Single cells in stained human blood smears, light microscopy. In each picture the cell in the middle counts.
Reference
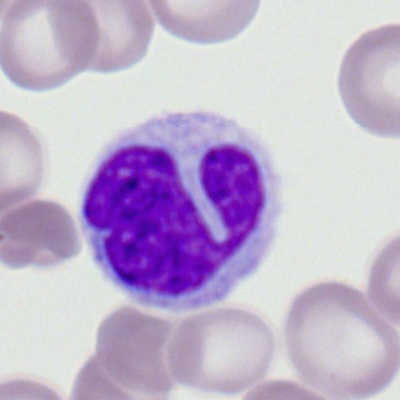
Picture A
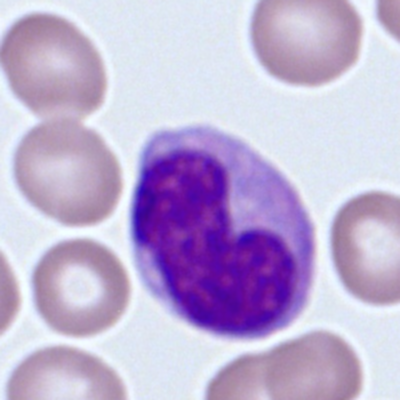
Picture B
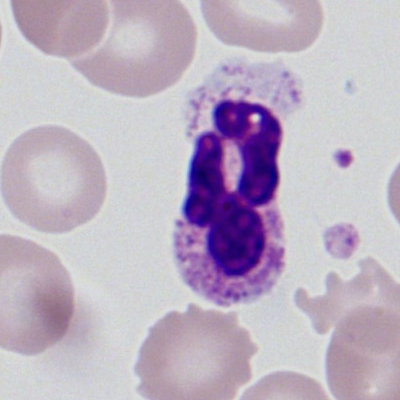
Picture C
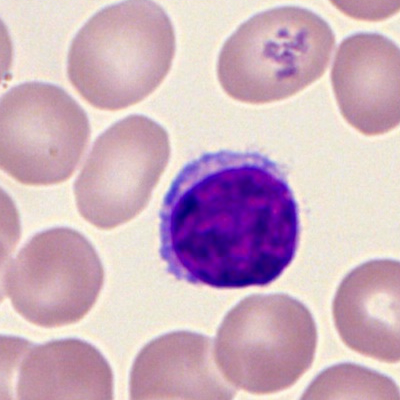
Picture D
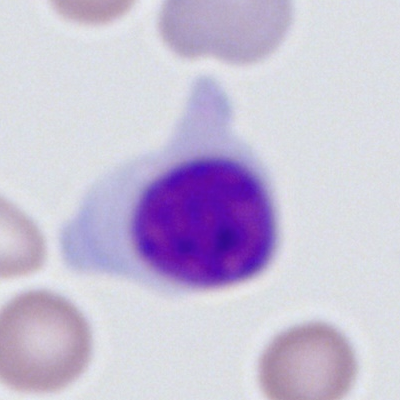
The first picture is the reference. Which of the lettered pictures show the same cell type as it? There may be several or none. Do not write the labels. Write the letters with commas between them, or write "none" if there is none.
A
